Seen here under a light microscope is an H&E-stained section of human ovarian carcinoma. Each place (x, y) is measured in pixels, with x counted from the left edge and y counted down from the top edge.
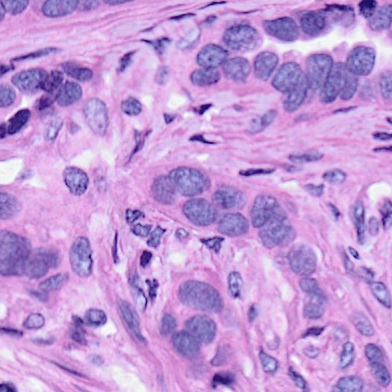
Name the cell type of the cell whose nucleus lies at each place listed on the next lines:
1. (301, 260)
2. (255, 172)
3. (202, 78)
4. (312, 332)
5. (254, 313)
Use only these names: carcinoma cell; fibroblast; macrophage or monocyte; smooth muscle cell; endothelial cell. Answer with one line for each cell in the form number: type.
1: carcinoma cell
2: fibroblast
3: carcinoma cell
4: fibroblast
5: fibroblast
